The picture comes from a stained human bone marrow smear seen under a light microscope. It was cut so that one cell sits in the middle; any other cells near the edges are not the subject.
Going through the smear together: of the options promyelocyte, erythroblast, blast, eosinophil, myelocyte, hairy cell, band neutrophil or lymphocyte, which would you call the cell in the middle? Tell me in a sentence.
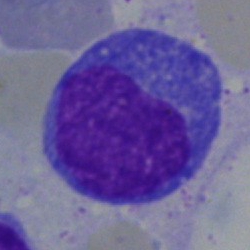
In short, the cell at the center is a promyelocyte.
